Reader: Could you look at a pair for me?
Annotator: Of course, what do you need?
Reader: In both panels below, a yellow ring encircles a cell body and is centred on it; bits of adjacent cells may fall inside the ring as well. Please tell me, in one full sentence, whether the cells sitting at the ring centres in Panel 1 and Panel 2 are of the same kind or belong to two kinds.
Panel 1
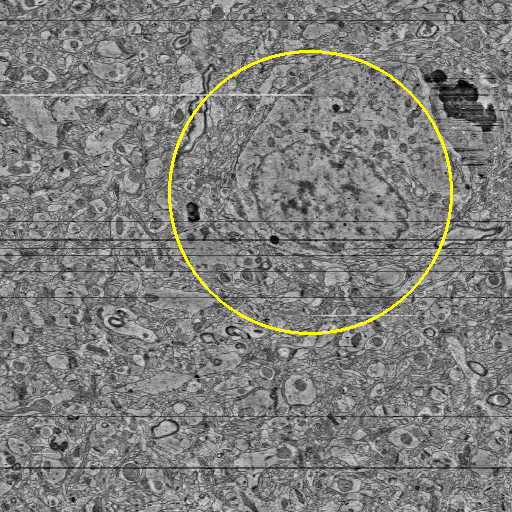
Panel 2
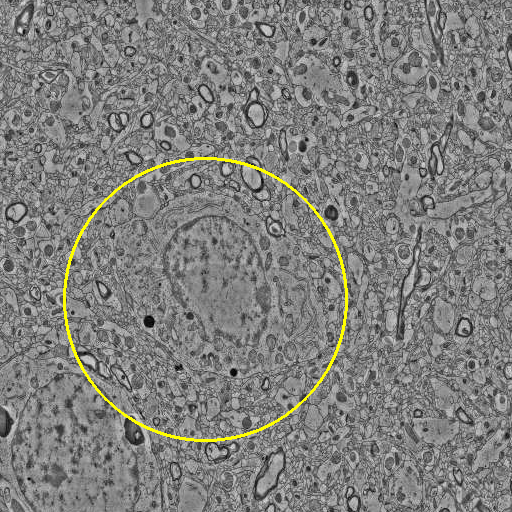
The cell at the ring's centre in Panel 1 and the one in Panel 2 are of the same kind.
